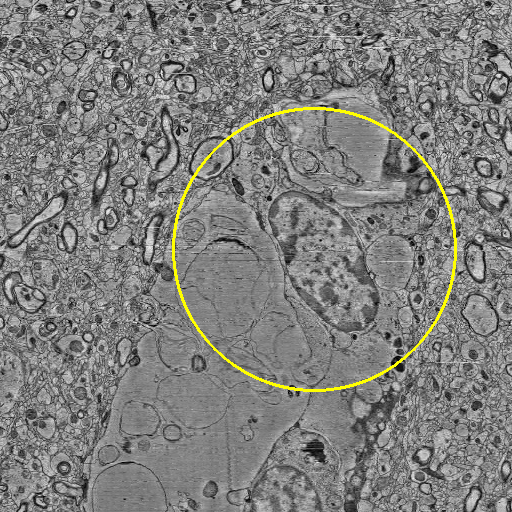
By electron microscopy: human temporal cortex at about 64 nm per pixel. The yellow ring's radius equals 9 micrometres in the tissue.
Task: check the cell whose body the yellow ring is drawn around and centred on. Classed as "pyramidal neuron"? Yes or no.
No, it belongs to another class.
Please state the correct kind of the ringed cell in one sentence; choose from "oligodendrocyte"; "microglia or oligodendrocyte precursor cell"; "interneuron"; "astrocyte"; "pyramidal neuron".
Instead, the cell inside the ring is a microglial cell or oligodendrocyte precursor cell.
